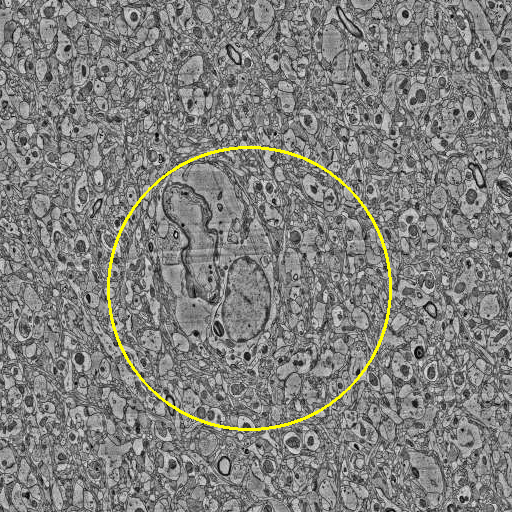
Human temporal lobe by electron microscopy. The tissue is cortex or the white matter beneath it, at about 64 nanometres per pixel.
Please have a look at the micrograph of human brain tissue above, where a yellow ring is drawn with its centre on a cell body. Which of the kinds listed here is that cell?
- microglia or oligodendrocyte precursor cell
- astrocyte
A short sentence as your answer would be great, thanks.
At the centre of the ring sits a microglial cell or oligodendrocyte precursor cell.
